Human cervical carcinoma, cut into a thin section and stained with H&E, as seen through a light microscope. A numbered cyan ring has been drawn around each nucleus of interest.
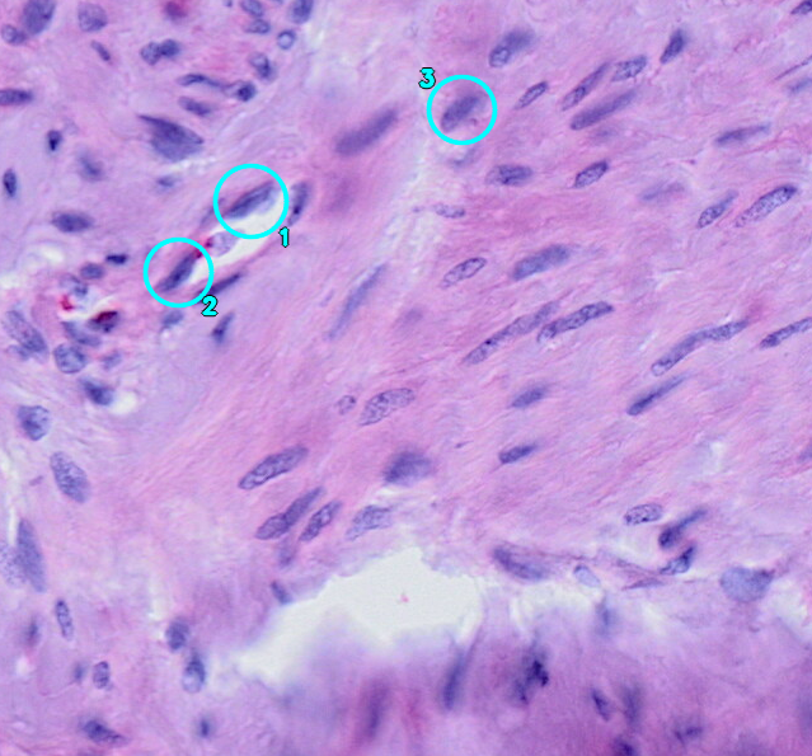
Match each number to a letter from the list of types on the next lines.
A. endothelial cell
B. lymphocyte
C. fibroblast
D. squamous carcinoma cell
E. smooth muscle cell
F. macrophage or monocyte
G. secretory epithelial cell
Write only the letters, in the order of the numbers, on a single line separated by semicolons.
A; A; C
